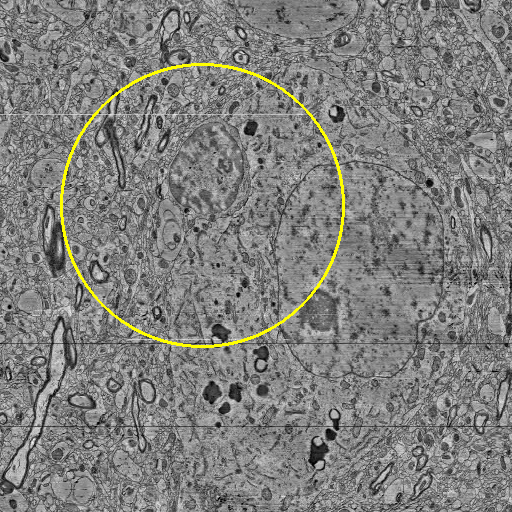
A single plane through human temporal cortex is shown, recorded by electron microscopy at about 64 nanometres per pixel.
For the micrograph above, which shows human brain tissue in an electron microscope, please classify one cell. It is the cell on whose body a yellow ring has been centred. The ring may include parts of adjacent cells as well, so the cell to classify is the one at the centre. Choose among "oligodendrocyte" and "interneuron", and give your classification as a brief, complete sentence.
I classify this cell as an oligodendrocyte.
